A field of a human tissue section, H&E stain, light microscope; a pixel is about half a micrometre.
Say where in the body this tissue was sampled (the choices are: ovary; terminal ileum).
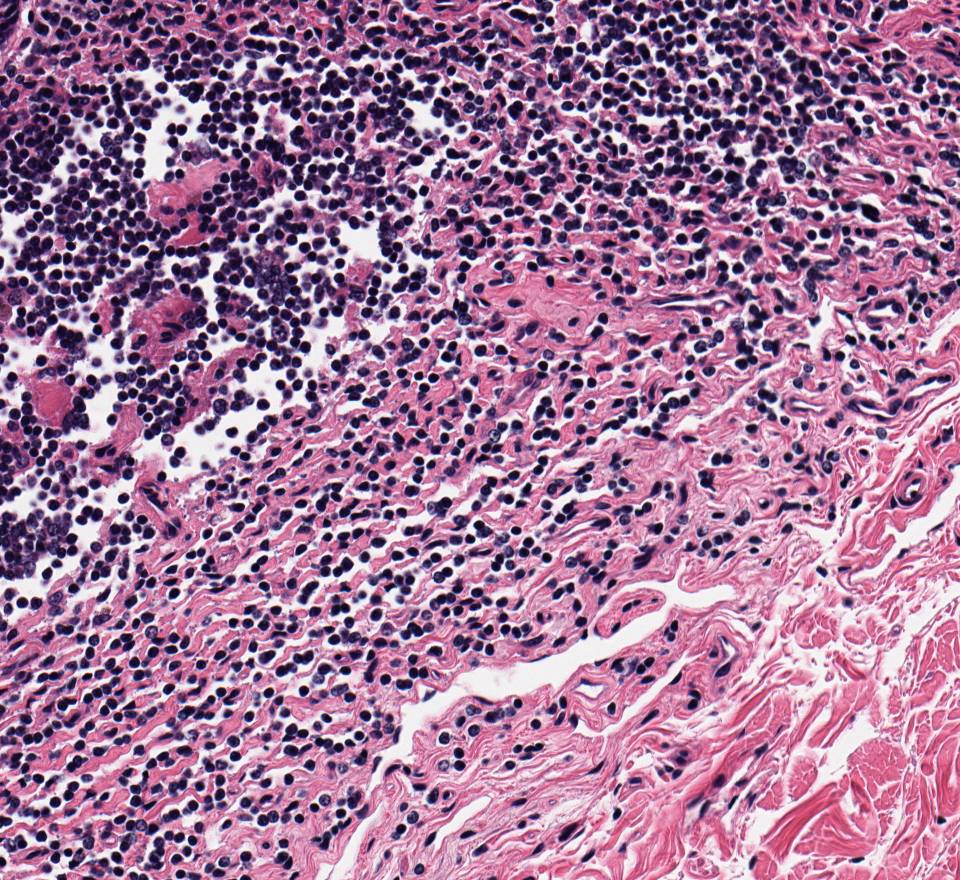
terminal ileum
